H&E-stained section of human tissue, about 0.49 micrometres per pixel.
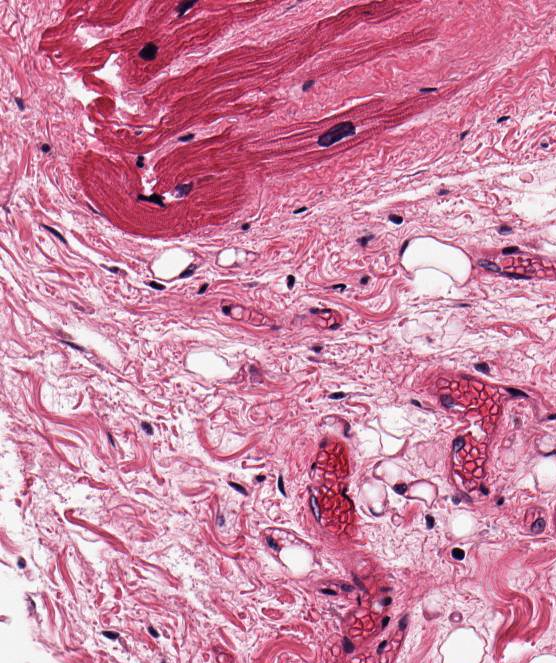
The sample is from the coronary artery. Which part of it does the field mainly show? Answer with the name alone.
tunica adventitia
